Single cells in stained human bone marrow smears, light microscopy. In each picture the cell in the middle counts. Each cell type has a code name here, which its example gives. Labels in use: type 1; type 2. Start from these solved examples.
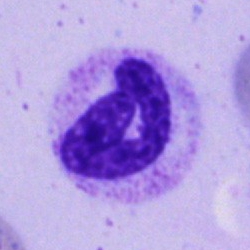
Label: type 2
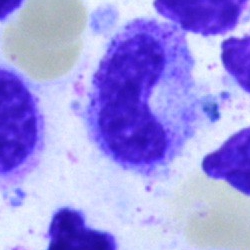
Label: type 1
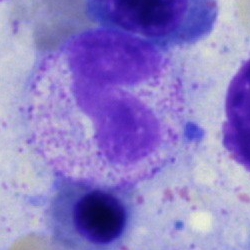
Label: type 1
